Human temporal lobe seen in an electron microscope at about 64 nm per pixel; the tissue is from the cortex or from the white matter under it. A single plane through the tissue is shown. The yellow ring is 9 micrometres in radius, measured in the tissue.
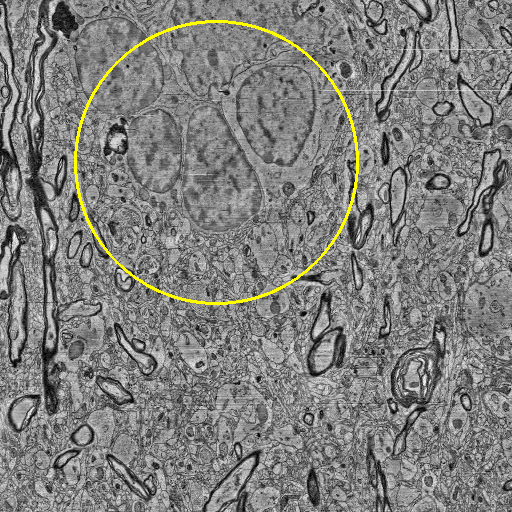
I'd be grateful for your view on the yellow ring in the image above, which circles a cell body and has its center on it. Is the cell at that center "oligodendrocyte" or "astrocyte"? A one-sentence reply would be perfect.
The cell at the center of the yellow ring is an oligodendrocyte.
